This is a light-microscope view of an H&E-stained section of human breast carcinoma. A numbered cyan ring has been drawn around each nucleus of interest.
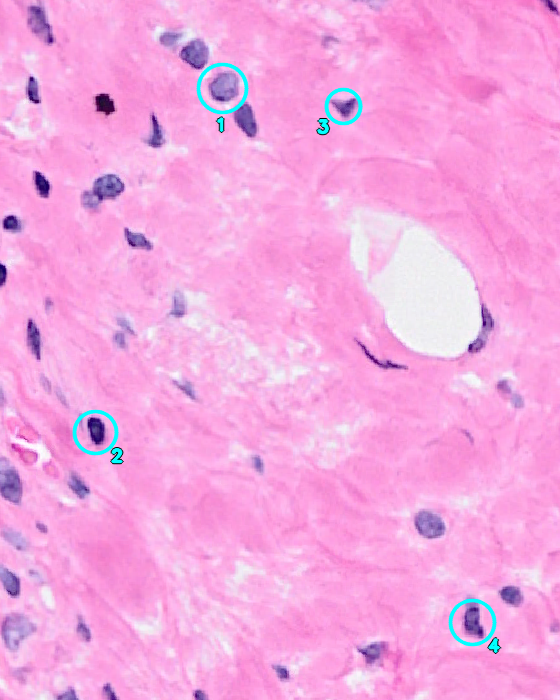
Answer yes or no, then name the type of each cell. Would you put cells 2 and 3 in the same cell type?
No, cell 2 is recognized as a lymphocyte, and cell 3 as a fibroblast.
